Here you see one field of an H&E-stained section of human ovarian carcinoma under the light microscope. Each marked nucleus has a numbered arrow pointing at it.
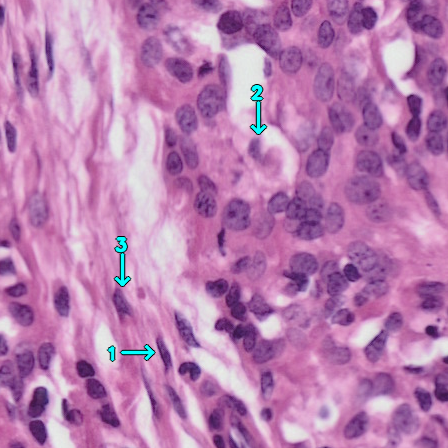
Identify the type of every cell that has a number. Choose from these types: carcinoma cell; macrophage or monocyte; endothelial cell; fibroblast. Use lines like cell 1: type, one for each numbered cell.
cell 1: fibroblast
cell 2: macrophage or monocyte
cell 3: fibroblast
